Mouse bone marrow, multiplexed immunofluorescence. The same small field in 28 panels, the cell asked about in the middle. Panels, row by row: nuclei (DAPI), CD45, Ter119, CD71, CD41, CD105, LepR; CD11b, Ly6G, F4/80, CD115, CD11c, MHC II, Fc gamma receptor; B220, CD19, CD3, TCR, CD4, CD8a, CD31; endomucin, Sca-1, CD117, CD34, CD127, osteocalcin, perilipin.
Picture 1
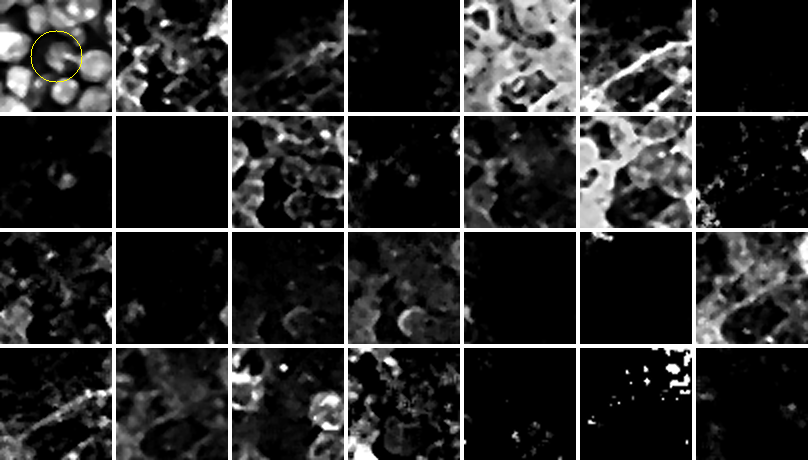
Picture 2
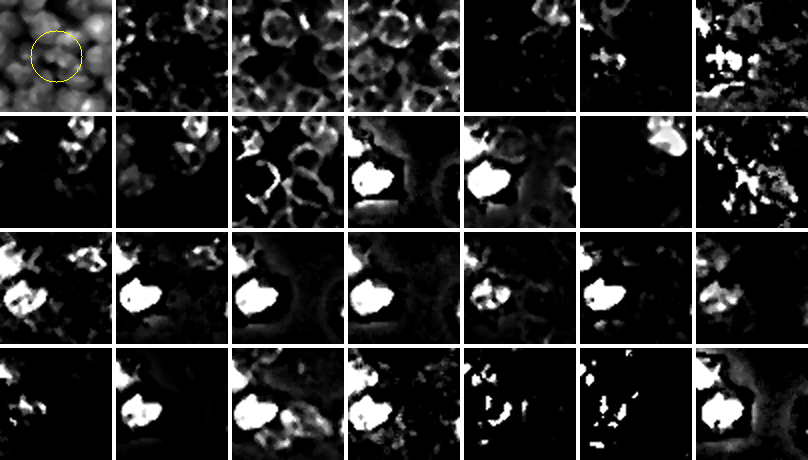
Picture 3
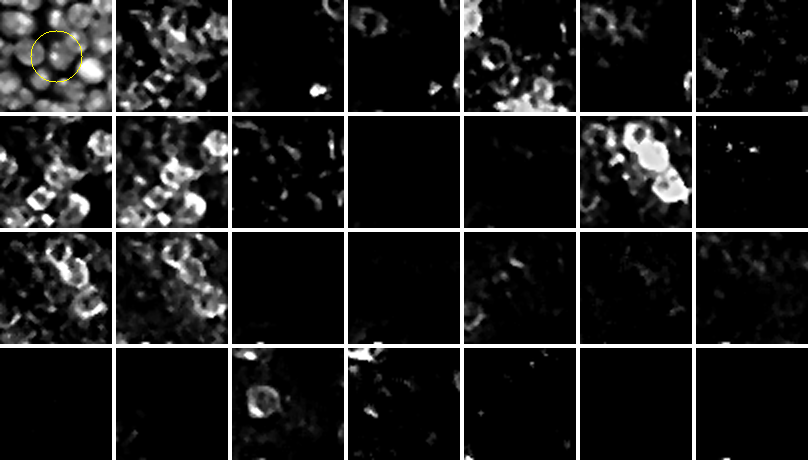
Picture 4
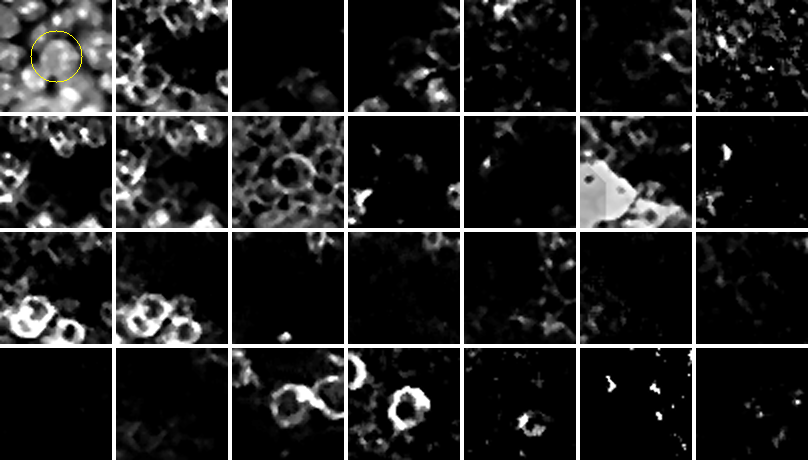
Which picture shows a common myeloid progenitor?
Picture 4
